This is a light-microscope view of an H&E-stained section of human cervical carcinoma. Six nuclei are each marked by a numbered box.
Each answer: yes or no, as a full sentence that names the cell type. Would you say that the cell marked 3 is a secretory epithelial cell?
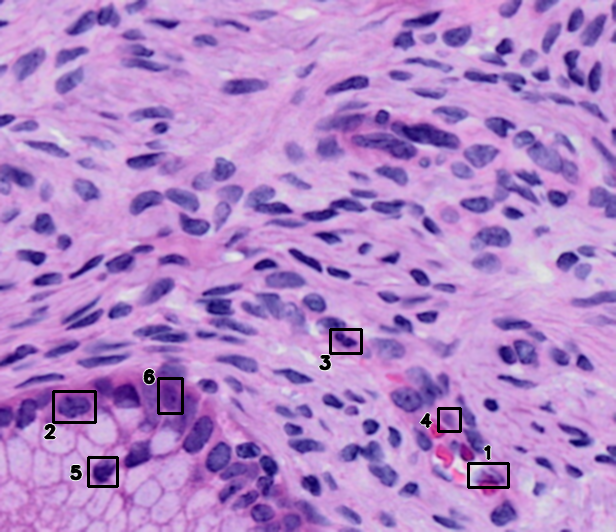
No, number 3 corresponds to an endothelial cell, not a secretory epithelial cell.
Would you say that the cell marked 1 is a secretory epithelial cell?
No, the cell denoted 1 is an endothelial cell rather than a secretory epithelial cell.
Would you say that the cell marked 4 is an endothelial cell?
Yes, the cell that is numbered 4 is an endothelial cell.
